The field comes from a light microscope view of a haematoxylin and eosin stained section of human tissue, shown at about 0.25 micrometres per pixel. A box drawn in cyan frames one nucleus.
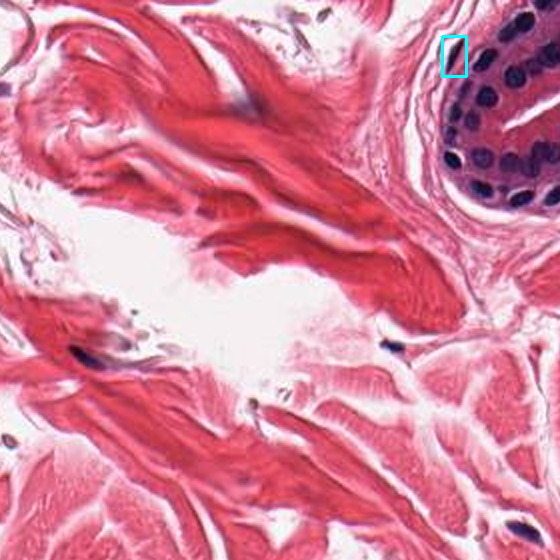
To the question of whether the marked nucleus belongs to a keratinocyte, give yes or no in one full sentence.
No, the marked nucleus does not belong to a keratinocyte; it belongs to a supporting cell.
